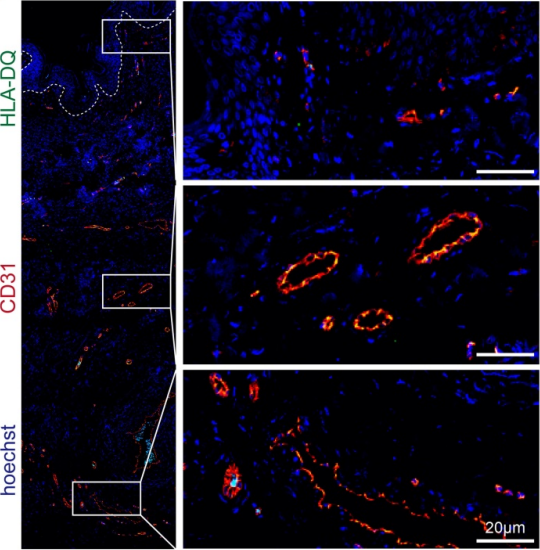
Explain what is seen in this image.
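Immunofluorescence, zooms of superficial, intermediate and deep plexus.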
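A dotted line near the surface marks the boundary between epidermis and dermis, with vessels lying beneath it at several depths. Green signal is sparse.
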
